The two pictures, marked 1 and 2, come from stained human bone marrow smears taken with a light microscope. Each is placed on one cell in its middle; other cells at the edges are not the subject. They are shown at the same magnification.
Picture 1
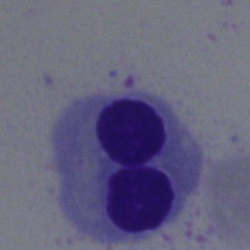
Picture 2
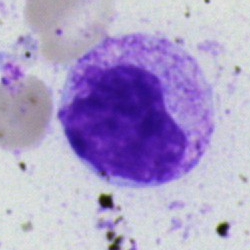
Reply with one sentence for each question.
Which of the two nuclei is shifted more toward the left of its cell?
Seen within its cell, the nucleus in picture 2 lies further toward the left.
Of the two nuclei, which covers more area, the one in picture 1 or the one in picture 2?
The nucleus in picture 2 is larger, with about 1.5 times the area of the one in picture 1.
